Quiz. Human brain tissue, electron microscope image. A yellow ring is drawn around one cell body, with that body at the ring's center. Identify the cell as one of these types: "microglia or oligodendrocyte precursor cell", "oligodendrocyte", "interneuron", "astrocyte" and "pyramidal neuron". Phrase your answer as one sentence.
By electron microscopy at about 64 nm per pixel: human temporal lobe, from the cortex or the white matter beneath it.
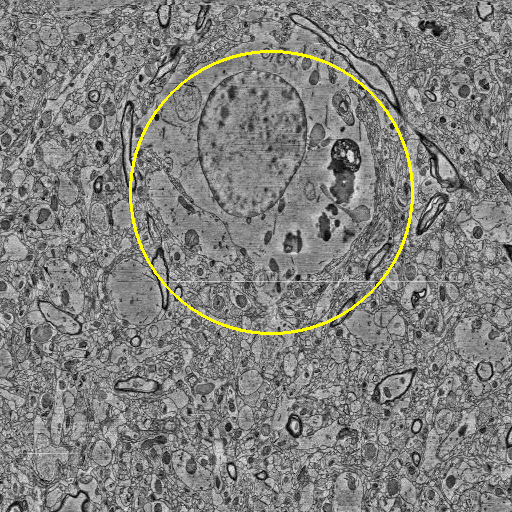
At the center of the ring sits an astrocyte.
